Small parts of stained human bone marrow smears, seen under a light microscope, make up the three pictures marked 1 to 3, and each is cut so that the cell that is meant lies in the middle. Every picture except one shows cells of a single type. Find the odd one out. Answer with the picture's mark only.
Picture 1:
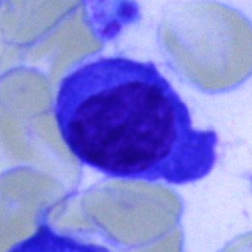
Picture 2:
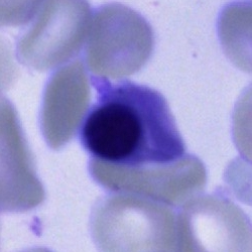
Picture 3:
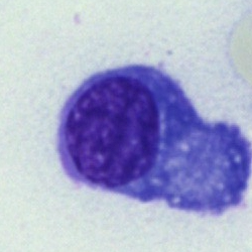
2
